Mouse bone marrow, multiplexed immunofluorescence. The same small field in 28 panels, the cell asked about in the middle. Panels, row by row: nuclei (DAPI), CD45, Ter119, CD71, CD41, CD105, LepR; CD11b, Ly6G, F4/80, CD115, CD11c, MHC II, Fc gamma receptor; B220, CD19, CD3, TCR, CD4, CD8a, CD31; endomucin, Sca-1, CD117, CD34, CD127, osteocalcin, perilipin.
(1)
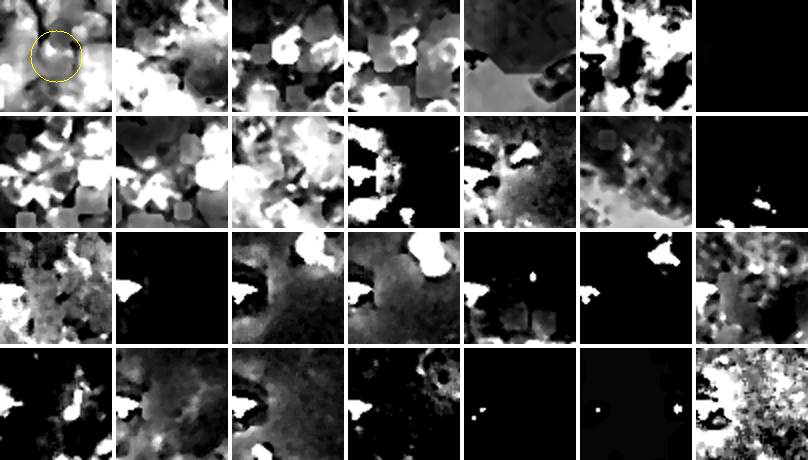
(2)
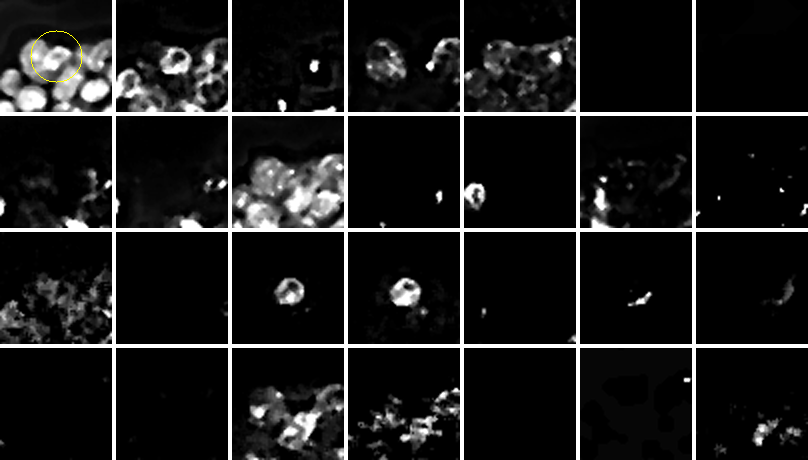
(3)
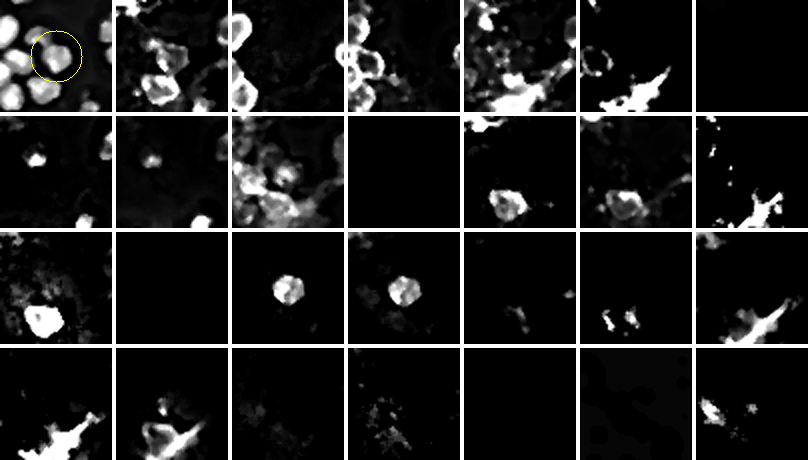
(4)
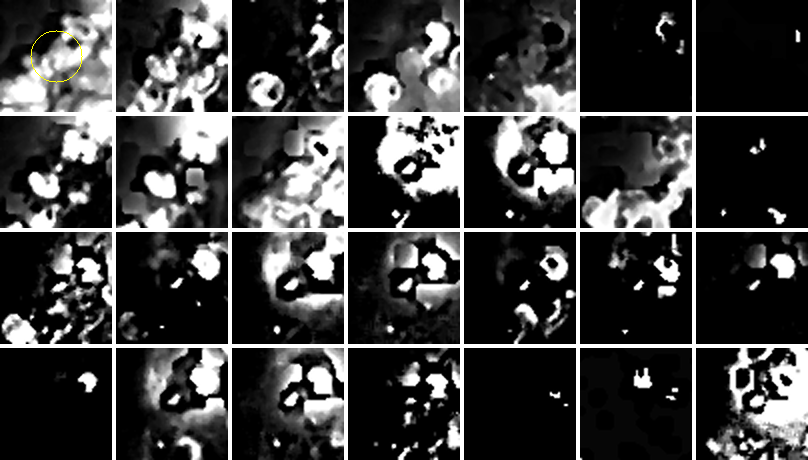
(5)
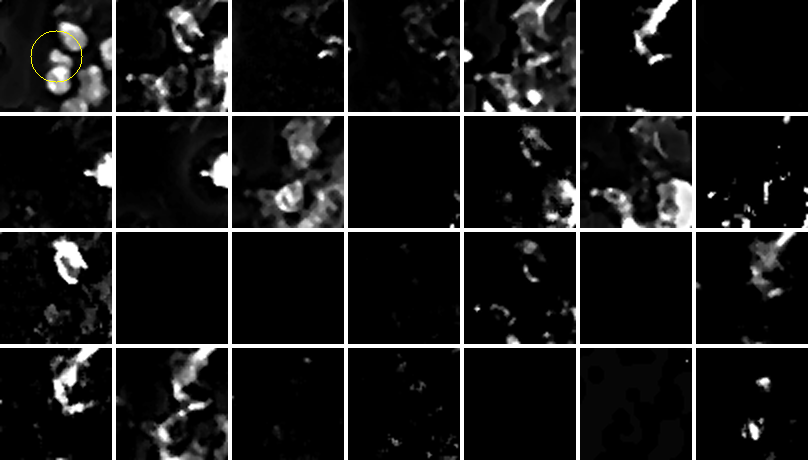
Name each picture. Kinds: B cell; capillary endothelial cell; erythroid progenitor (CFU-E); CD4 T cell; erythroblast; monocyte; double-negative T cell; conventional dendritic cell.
(1) conventional dendritic cell
(2) double-negative T cell
(3) double-negative T cell
(4) erythroid progenitor (CFU-E)
(5) capillary endothelial cell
